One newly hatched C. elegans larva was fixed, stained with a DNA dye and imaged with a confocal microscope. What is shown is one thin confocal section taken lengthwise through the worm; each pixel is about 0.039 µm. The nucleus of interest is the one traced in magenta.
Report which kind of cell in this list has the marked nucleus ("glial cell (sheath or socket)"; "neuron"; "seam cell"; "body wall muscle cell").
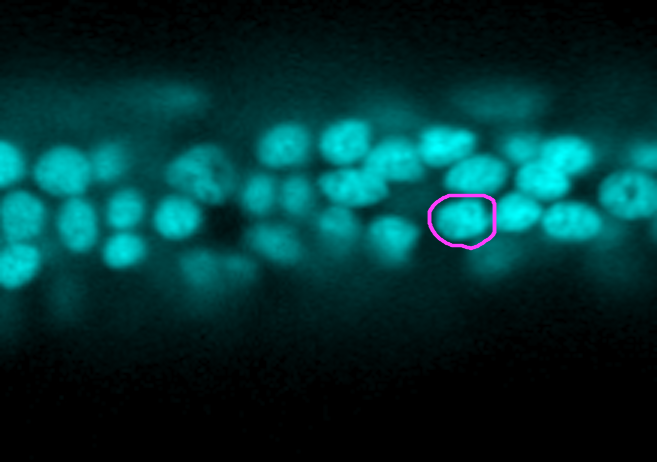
glial cell (sheath or socket)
